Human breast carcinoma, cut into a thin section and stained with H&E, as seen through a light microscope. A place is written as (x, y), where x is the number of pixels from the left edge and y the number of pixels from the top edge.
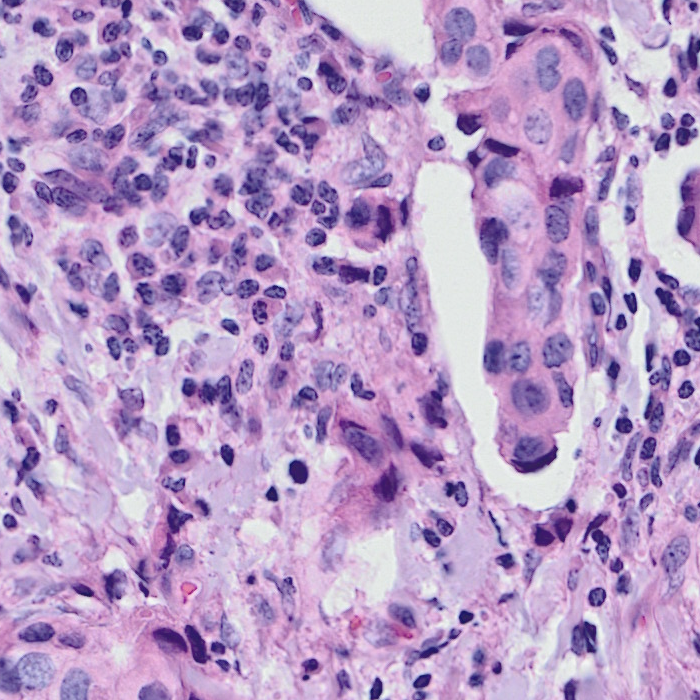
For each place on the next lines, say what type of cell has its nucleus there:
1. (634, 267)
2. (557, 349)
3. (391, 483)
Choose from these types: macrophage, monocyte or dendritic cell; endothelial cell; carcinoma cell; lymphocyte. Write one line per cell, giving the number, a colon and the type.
1: lymphocyte
2: carcinoma cell
3: carcinoma cell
